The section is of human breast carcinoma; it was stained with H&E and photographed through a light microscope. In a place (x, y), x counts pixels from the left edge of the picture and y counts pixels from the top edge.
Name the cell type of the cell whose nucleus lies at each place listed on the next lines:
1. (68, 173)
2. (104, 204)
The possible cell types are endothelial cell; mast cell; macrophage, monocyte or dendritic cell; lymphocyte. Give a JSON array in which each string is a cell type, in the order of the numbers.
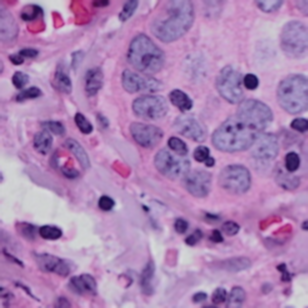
["endothelial cell", "lymphocyte"]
